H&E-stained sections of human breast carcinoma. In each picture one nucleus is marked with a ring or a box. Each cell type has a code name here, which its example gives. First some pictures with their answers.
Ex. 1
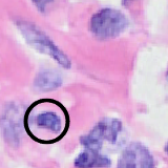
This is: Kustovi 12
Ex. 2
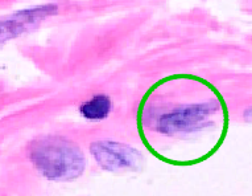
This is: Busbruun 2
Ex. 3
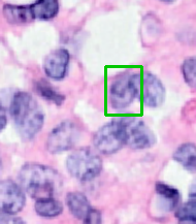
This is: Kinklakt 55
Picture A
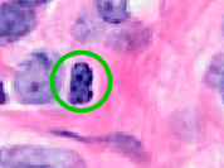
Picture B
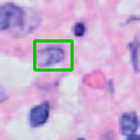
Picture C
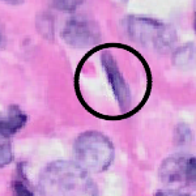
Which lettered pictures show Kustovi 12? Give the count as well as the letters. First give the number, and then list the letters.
Count: 1 (A)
